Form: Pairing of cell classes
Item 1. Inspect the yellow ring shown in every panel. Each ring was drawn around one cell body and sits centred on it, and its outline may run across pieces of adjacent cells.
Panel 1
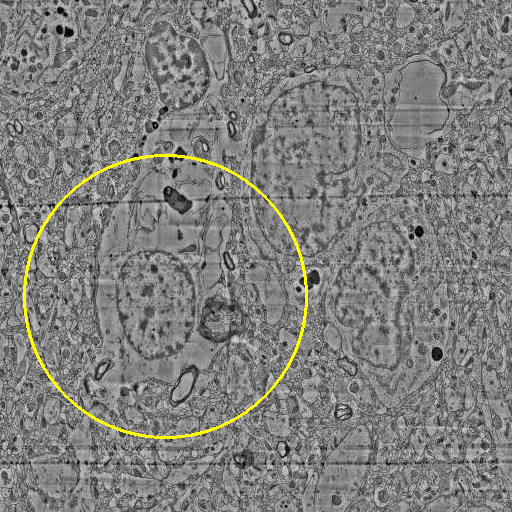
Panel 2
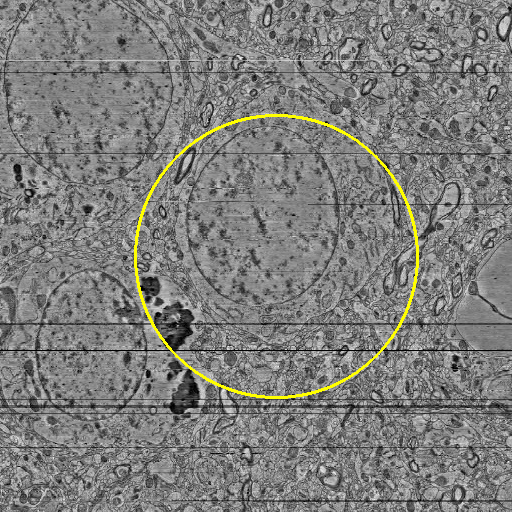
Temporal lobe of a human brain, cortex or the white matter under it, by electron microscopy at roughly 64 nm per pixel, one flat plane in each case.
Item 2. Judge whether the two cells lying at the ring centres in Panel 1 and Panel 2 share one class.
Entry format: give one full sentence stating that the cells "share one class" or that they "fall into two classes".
The cells at the ring centres in Panel 1 and Panel 2 fall into two classes.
